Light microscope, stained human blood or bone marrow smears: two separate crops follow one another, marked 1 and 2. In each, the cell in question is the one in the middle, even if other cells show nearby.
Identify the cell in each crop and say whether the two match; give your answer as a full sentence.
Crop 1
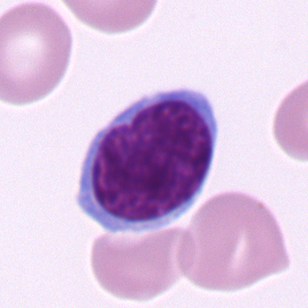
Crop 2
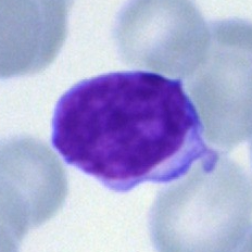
Yes, both crops show lymphocytes, and that holds for each one.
